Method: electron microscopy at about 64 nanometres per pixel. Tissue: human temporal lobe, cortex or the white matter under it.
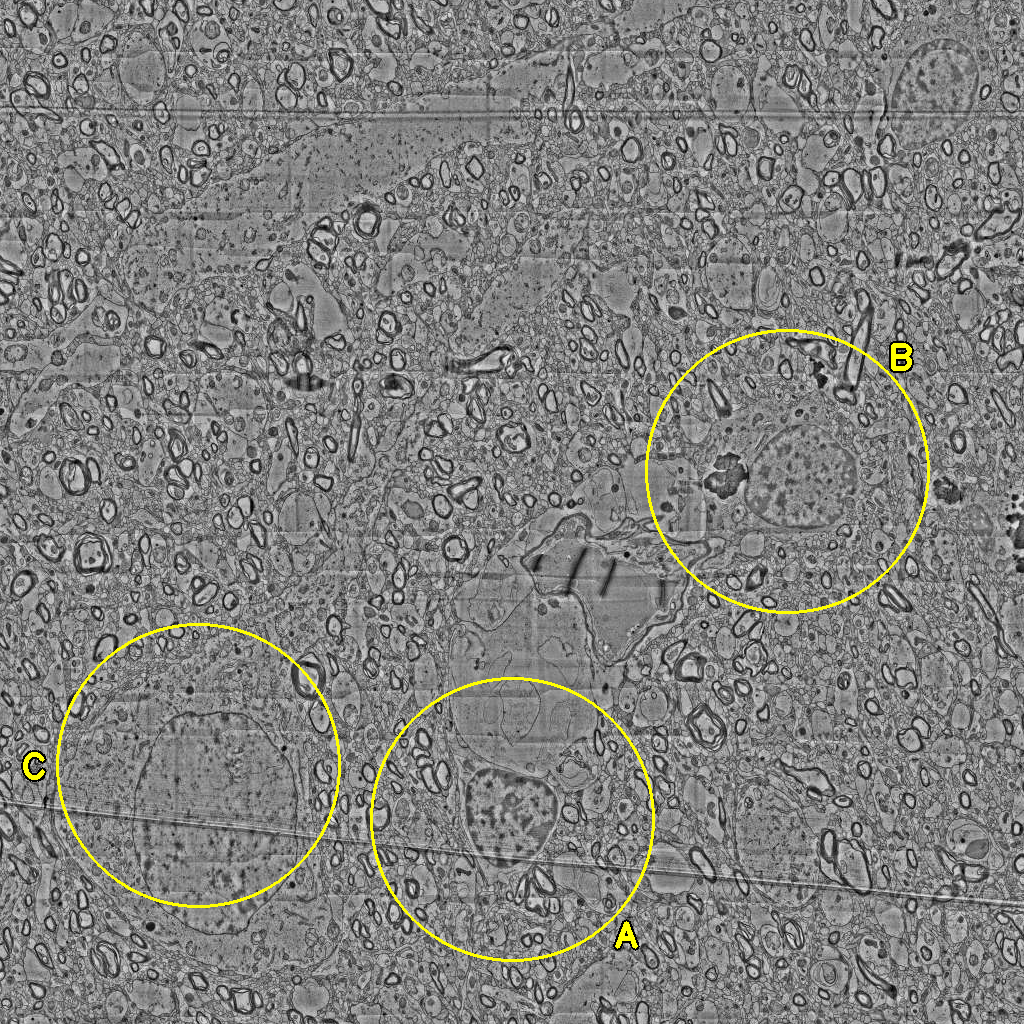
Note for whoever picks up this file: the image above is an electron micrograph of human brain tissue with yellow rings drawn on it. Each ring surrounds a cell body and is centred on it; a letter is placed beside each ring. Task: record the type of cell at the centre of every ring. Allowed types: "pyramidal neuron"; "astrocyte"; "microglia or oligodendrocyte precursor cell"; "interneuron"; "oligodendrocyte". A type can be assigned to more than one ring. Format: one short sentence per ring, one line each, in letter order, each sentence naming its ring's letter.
The ring marked A is centred on a microglial cell or oligodendrocyte precursor cell.
The ring marked B is centred on an oligodendrocyte.
The ring marked C is centred on a pyramidal neuron.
